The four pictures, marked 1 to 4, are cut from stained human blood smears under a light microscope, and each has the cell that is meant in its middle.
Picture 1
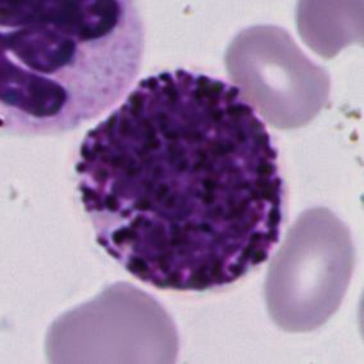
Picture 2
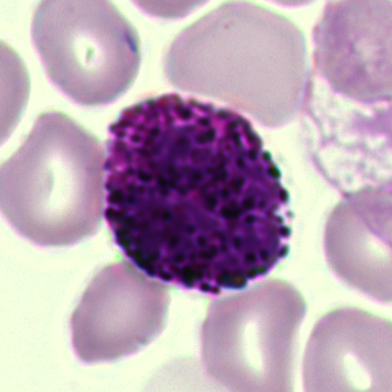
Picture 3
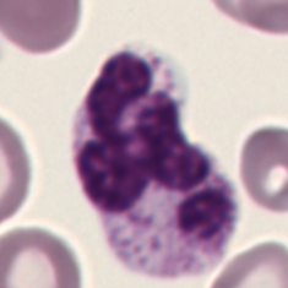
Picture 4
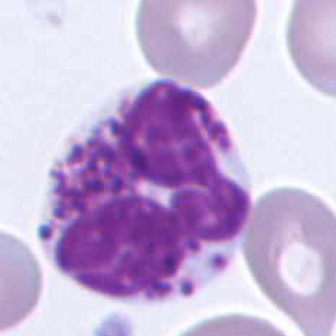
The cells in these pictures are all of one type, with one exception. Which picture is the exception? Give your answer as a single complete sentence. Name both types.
The different one is picture 3; it shows a segmented neutrophil, whereas all the others show basophils.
